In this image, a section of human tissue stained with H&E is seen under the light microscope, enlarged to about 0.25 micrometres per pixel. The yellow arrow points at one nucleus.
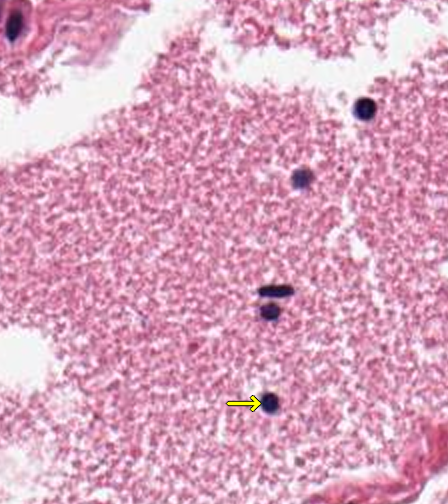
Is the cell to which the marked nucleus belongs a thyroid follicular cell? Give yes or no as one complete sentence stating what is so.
No, the marked nucleus belongs to a supporting cell of connective tissue, a vessel or the immune system, not to a thyroid follicular cell.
